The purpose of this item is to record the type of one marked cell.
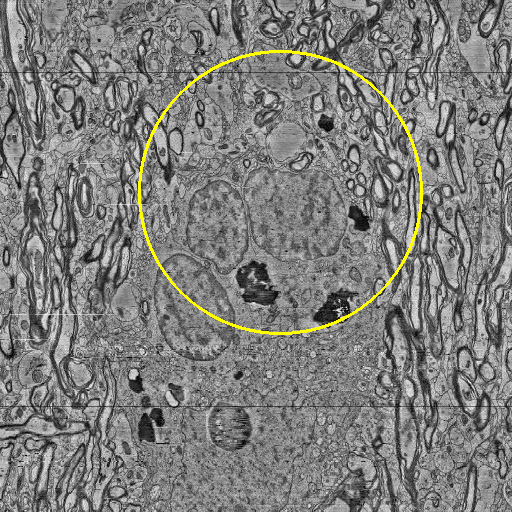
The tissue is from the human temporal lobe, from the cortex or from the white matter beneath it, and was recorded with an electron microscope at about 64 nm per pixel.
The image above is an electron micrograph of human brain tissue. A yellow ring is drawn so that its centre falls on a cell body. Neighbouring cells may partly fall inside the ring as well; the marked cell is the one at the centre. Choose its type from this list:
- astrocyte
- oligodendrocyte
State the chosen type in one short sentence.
What the ring marks here is an oligodendrocyte.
